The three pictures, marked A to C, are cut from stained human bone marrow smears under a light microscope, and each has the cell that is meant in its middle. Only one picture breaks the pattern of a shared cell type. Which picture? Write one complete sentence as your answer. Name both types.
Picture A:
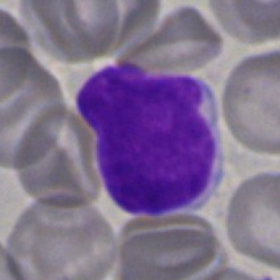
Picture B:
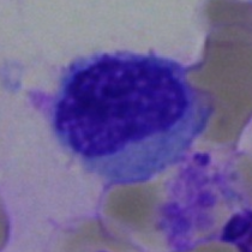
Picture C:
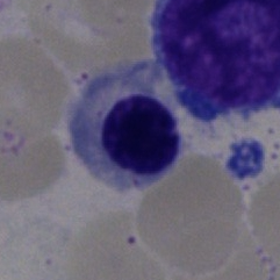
Unlike the rest, which show lymphocytes, picture C shows an erythroblast.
